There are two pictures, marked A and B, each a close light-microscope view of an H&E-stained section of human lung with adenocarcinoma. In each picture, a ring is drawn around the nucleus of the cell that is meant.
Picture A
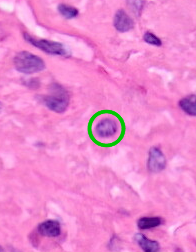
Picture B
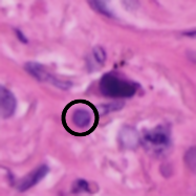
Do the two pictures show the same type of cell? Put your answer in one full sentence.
Yes, both are mast cells.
